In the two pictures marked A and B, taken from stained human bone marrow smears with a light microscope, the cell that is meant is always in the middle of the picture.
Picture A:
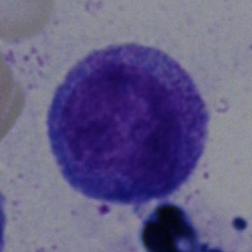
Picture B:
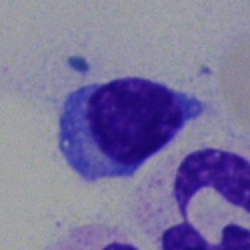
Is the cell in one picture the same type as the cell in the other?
no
